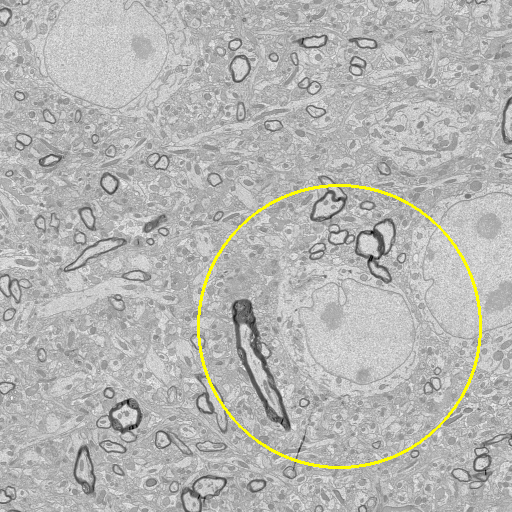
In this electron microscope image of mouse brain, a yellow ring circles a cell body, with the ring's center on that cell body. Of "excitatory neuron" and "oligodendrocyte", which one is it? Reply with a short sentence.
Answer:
It is an excitatory neuron at the center of the ring.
